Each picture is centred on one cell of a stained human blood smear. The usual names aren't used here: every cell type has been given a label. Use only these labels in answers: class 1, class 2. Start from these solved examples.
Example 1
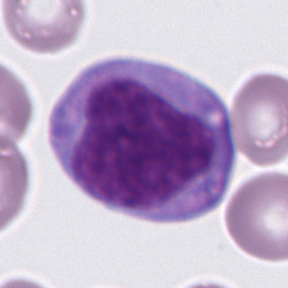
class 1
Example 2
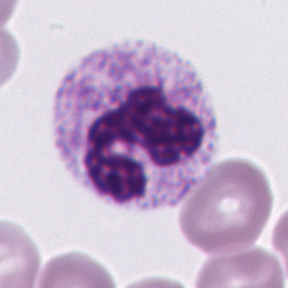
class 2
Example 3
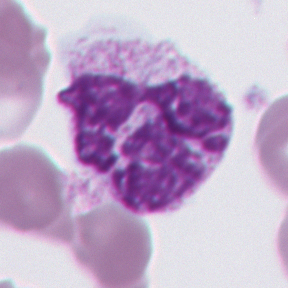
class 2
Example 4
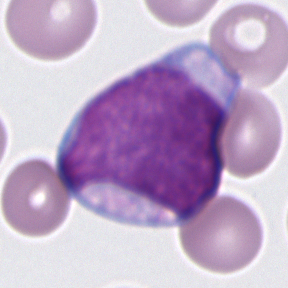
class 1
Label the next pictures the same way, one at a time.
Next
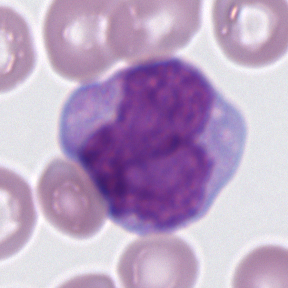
class 1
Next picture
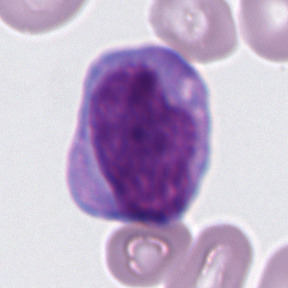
class 1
